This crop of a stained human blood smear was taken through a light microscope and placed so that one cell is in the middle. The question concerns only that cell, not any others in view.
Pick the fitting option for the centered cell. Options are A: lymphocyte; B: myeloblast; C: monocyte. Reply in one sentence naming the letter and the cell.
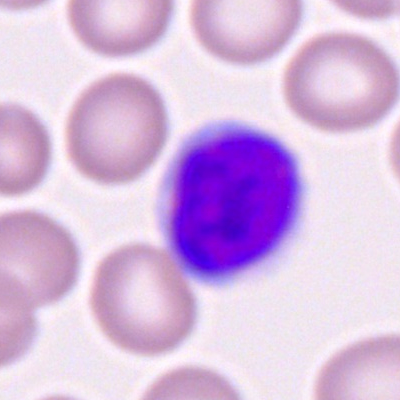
The middle of the crop holds a lymphocyte, which points to option A.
